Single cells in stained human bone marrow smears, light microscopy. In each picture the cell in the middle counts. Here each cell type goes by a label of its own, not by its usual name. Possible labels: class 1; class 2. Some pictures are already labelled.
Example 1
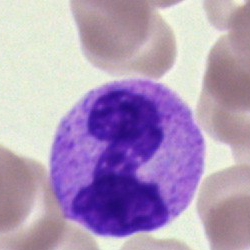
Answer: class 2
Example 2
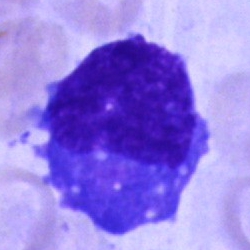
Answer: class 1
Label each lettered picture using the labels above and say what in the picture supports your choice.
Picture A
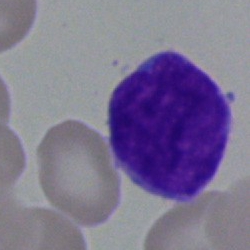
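class 1. Reason: The chromatin looks finely mottled rather than gathered into coarse dark clumps.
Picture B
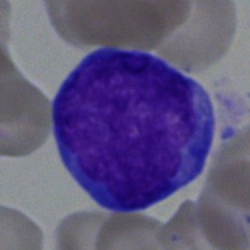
class 1. Reason: The cytoplasm is a scant rim of deep blue.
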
